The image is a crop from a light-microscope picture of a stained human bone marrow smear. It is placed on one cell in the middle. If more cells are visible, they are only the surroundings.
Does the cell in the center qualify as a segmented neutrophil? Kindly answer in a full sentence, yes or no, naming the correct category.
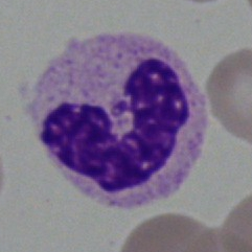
Yes, the cell shown centrally is a segmented neutrophil.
